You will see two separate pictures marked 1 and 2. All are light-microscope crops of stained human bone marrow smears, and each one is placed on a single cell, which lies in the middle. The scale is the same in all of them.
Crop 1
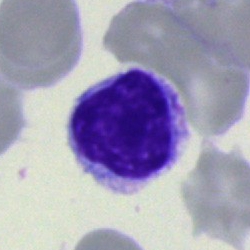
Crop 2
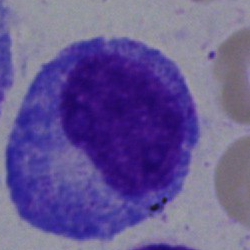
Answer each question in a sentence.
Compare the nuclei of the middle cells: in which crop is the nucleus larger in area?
Larger is the nucleus in crop 2, at roughly 1.5 times the area of the other.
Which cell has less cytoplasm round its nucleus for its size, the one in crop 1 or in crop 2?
It is the cell in crop 1 that is filled more by its nucleus.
